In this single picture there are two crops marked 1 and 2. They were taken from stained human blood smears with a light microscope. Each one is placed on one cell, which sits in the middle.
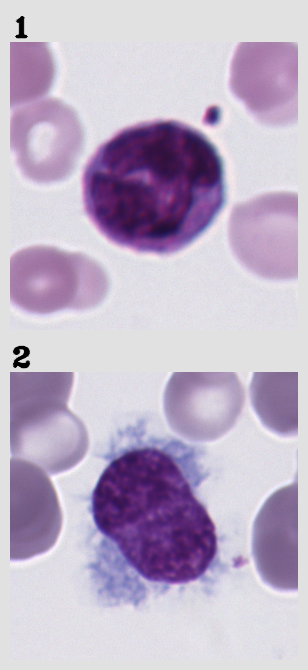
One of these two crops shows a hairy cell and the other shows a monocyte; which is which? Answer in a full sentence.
The cell of crop 1 is a monocyte; that of crop 2 is a hairy cell.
